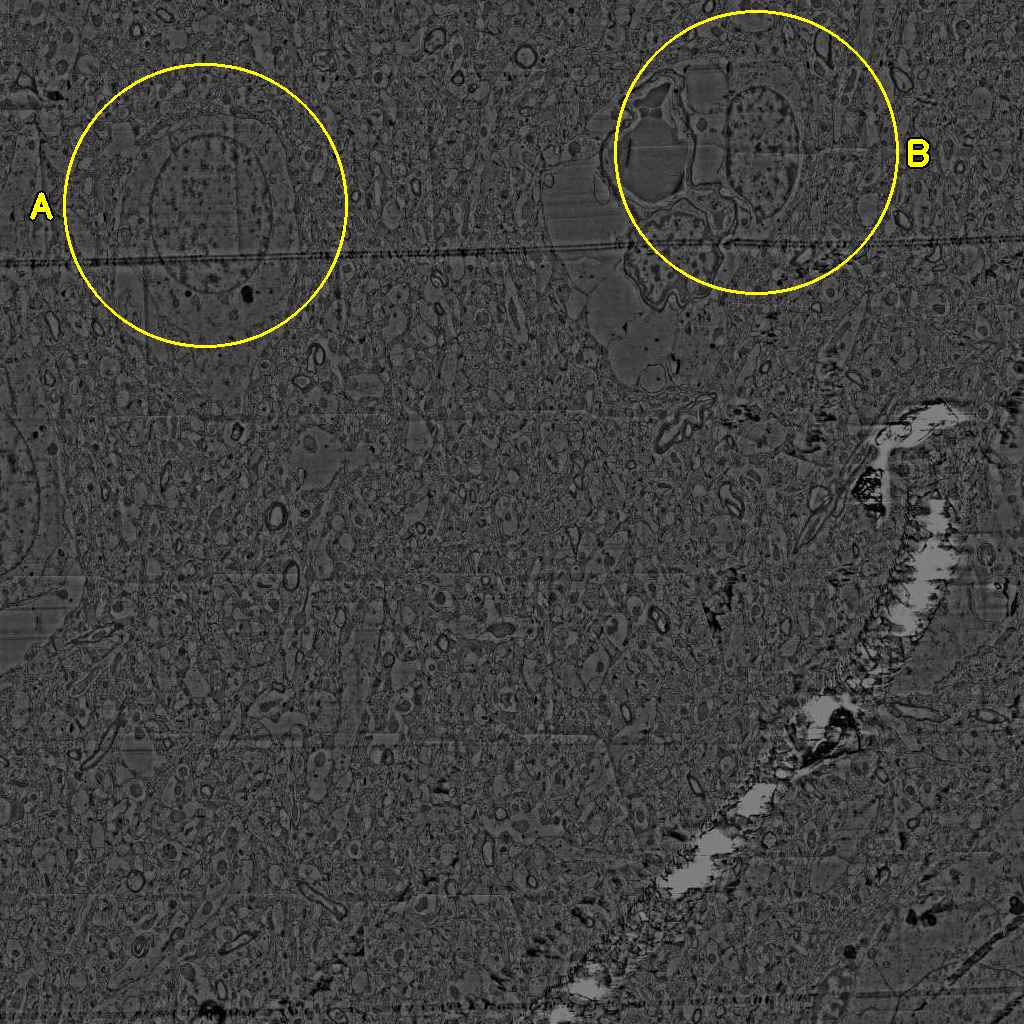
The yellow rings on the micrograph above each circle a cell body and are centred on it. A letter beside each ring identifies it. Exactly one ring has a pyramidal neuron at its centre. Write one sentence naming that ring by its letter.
Ring A is the one.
